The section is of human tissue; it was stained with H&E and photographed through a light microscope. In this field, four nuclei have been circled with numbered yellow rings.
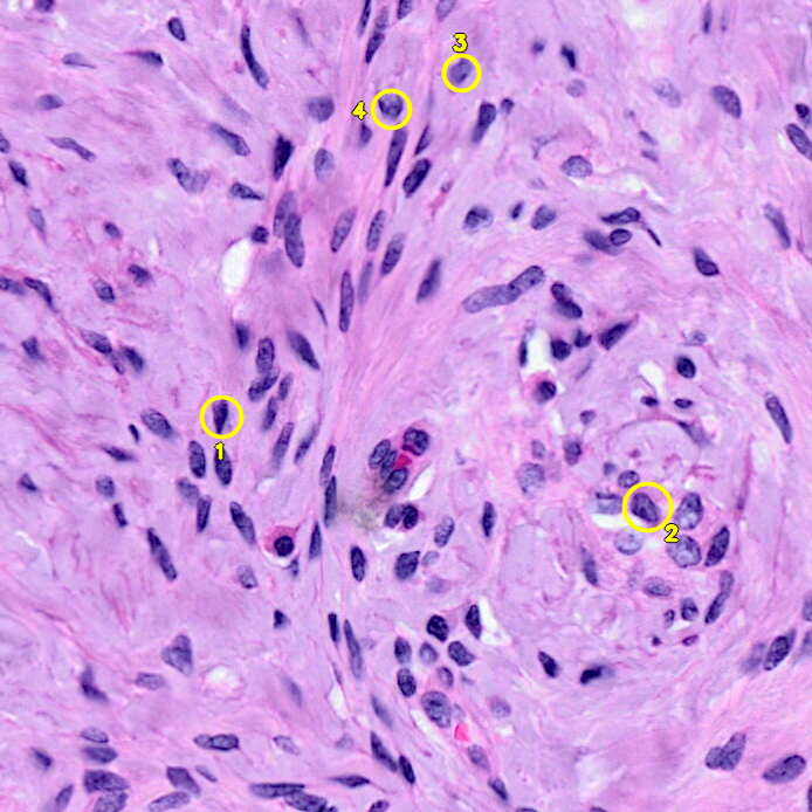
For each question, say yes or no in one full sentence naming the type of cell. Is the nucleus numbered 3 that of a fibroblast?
Yes, the cell marked with number 3 is a fibroblast.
